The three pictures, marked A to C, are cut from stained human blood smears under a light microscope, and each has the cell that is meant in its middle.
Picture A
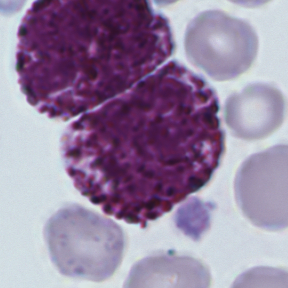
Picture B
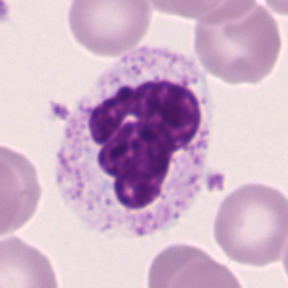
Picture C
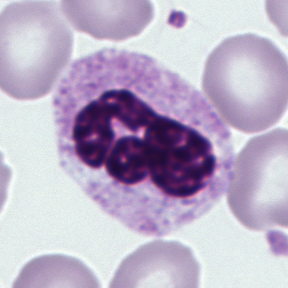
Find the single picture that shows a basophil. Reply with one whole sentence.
The cell in picture A is the basophil.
